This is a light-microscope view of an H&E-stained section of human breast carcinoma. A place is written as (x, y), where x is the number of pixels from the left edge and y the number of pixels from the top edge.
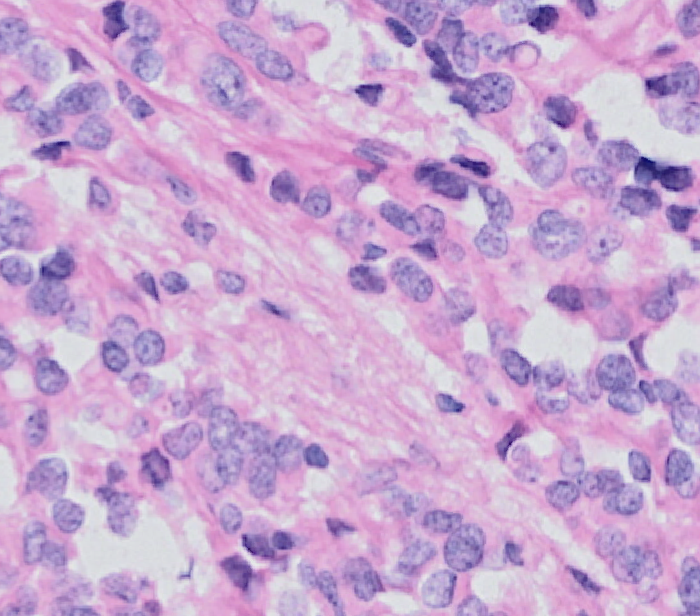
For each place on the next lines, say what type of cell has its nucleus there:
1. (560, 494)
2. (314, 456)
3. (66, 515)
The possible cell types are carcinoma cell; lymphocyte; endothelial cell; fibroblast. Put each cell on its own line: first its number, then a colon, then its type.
1: carcinoma cell
2: lymphocyte
3: carcinoma cell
